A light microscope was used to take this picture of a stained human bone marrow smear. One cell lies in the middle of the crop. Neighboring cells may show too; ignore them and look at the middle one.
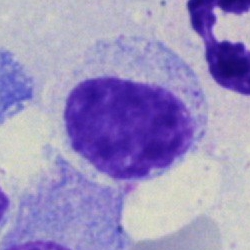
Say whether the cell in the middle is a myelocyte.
yes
